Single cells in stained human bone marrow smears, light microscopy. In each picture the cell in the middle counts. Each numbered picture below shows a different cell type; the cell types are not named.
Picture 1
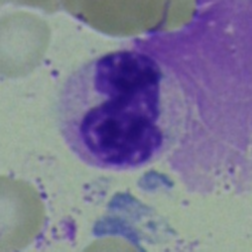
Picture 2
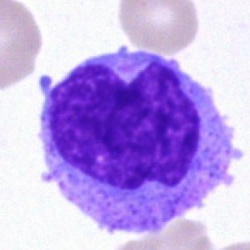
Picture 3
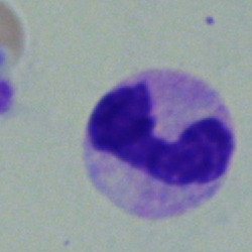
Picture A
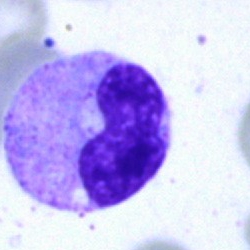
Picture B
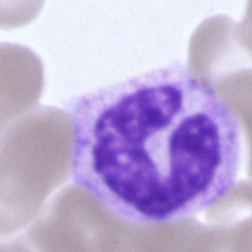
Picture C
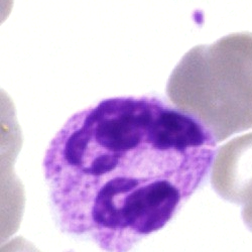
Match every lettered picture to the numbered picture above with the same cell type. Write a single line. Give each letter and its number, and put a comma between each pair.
A 3, B 3, C 1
